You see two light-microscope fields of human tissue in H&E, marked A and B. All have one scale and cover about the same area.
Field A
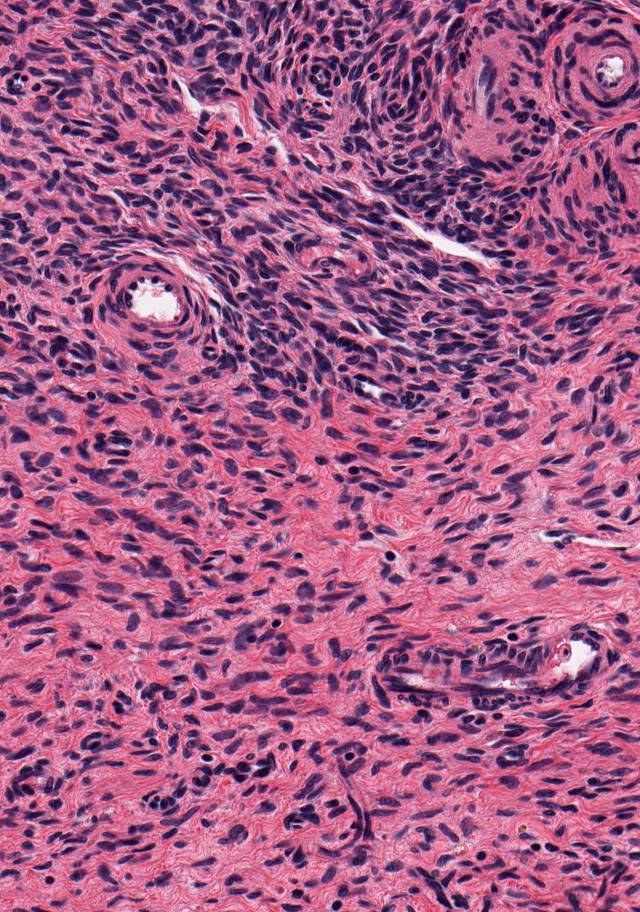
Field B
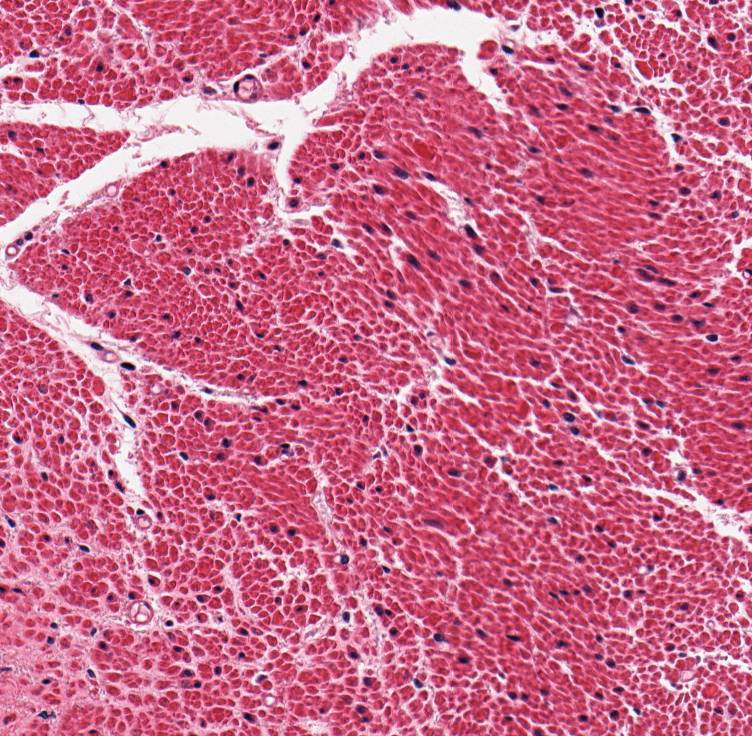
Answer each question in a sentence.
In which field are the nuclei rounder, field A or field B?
Rounder nuclei lie in field B.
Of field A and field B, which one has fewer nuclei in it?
There are fewer nuclei in field B.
